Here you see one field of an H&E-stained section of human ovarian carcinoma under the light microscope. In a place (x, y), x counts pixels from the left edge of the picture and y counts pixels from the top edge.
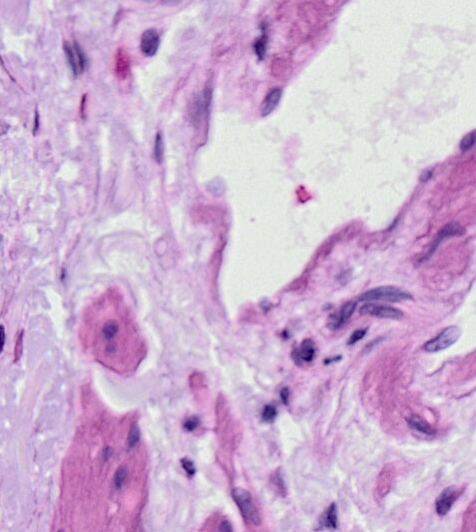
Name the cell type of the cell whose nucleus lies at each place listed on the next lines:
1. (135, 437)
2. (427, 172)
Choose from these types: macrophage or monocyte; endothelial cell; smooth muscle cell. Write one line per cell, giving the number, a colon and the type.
1: smooth muscle cell
2: endothelial cell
